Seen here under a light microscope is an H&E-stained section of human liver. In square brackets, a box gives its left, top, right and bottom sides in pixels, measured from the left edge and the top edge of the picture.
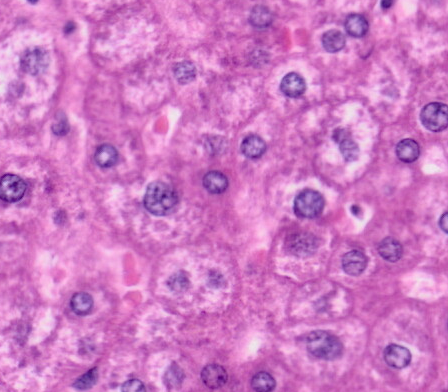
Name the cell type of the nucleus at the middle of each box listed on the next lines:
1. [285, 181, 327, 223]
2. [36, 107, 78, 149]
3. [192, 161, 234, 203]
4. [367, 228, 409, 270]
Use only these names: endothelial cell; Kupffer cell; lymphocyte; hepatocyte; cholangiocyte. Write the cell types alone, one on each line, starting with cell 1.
hepatocyte
Kupffer cell
hepatocyte
hepatocyte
